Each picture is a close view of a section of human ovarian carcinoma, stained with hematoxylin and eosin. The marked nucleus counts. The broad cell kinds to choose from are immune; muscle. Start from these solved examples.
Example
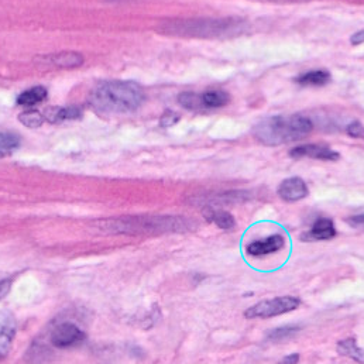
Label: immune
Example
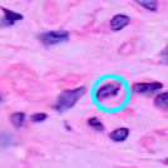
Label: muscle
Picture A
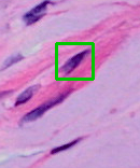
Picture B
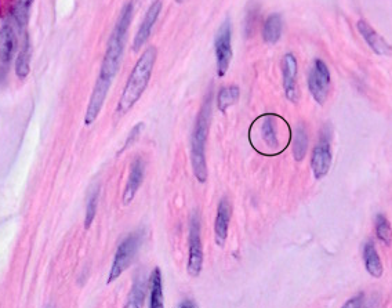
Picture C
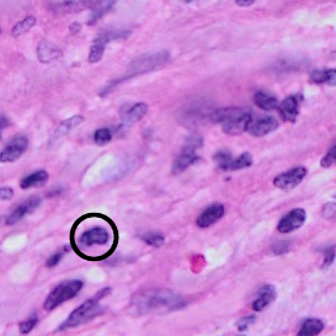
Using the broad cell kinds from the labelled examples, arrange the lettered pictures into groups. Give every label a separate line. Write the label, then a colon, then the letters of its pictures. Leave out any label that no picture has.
immune: C
muscle: A, B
